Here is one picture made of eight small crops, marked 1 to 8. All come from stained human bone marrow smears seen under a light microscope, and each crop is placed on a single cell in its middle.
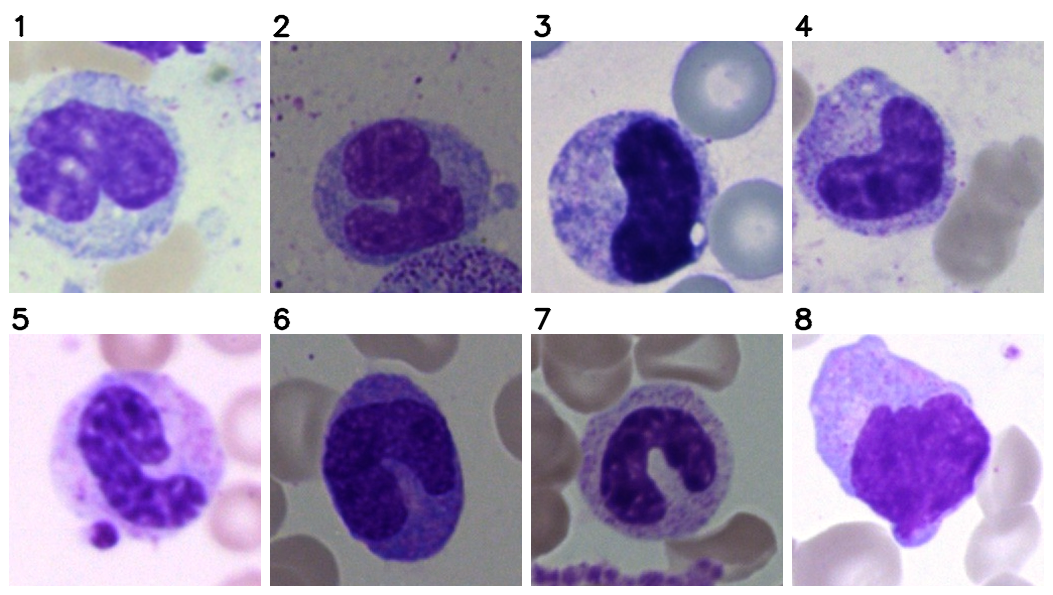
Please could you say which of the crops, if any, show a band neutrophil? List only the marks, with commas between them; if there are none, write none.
5, 7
